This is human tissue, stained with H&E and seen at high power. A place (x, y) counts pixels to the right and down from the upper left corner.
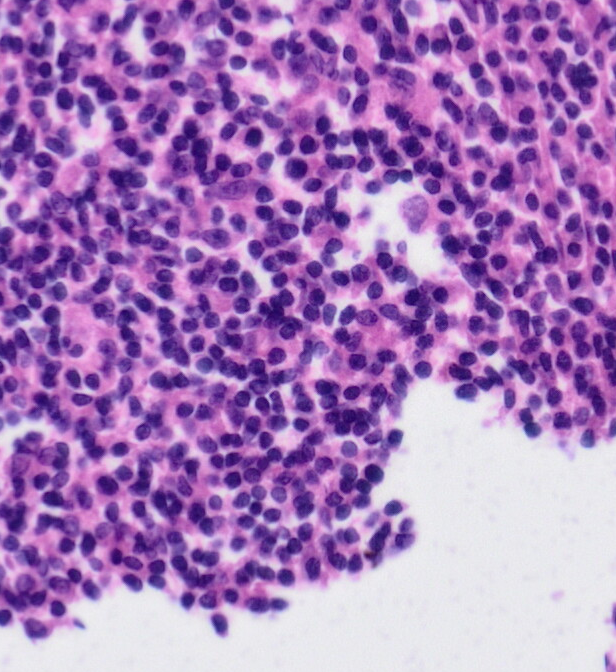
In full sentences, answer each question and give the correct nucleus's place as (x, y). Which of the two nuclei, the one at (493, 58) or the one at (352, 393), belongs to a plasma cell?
Identified as belonging to a plasma cell is the nucleus at (493, 58).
